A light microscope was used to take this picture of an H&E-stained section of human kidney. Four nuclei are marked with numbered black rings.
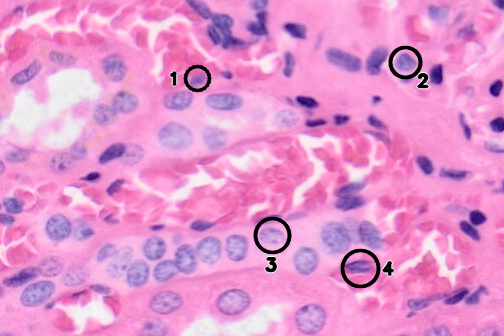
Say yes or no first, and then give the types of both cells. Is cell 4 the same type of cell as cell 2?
Yes, the two cells, 4 and 2, are both endothelial cells.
